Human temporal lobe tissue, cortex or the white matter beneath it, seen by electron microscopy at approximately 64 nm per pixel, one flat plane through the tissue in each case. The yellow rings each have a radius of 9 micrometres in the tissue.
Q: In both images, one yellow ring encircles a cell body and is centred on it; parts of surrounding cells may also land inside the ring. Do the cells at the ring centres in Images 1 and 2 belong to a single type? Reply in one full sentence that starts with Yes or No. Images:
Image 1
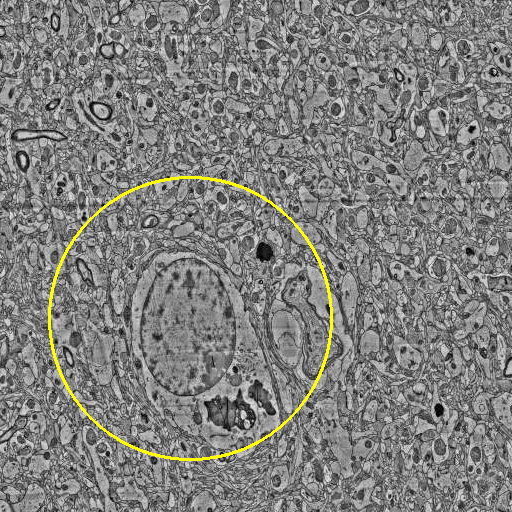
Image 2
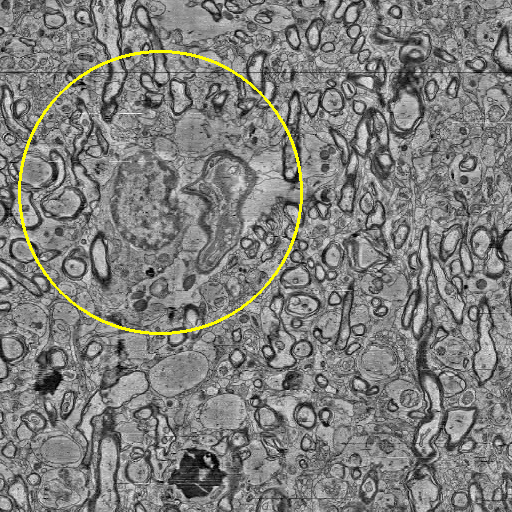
No, the cells at the ring centres in Images 1 and 2 are of two types.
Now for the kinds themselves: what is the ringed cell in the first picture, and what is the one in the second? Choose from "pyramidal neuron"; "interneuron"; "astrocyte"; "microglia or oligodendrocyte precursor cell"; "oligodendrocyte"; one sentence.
Here the first cell is an astrocyte and the second cell is an oligodendrocyte.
